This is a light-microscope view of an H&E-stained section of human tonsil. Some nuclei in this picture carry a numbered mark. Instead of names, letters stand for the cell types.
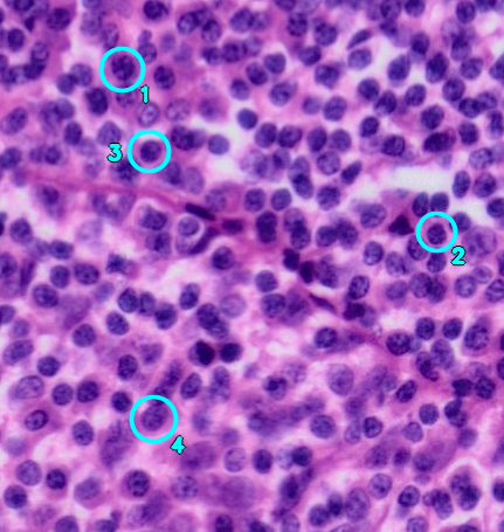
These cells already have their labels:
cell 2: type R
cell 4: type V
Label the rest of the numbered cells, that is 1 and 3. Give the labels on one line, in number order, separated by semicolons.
type V; type V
